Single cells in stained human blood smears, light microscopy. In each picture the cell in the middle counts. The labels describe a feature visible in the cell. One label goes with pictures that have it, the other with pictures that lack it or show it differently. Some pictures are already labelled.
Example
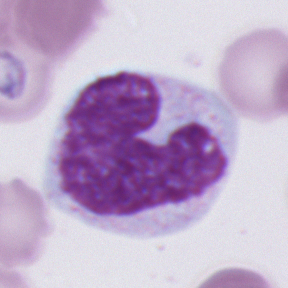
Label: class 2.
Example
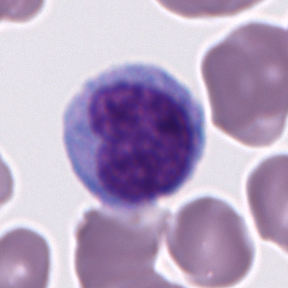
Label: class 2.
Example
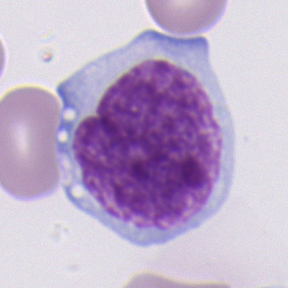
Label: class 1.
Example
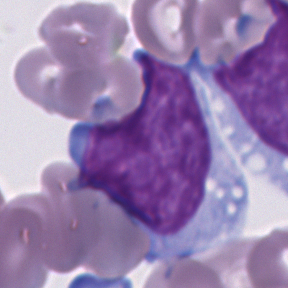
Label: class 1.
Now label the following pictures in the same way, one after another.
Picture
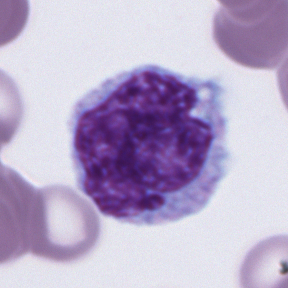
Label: class 1.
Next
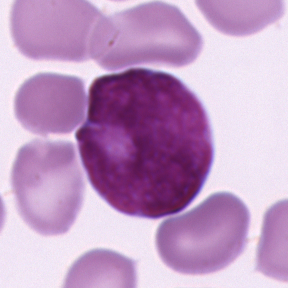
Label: class 2.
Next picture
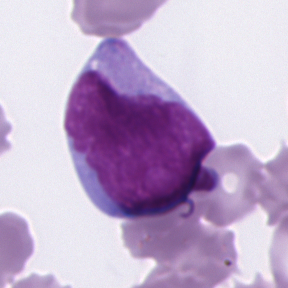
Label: class 1.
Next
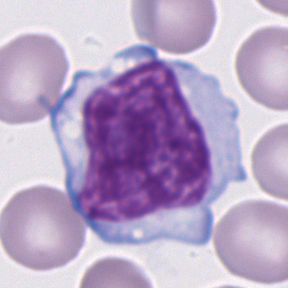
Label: class 1.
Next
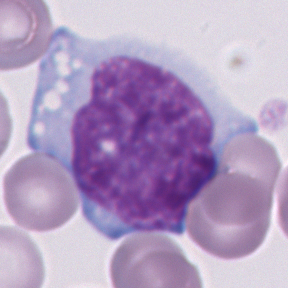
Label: class 1.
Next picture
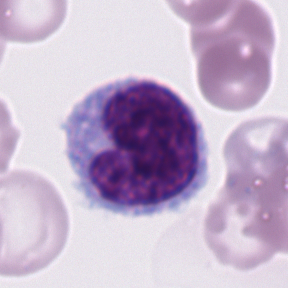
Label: class 2.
